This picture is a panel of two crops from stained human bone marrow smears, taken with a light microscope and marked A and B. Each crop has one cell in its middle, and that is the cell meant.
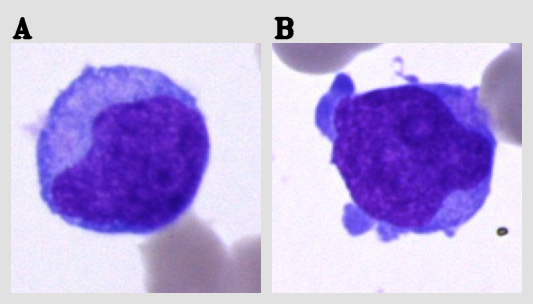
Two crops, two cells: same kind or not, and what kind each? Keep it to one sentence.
Yes, it is blasts that sit at the centre of both crops.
